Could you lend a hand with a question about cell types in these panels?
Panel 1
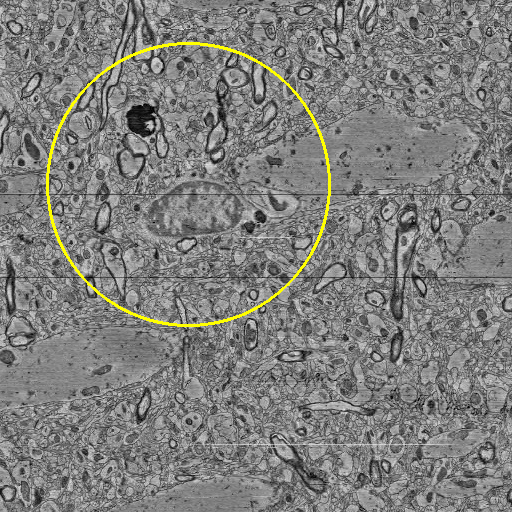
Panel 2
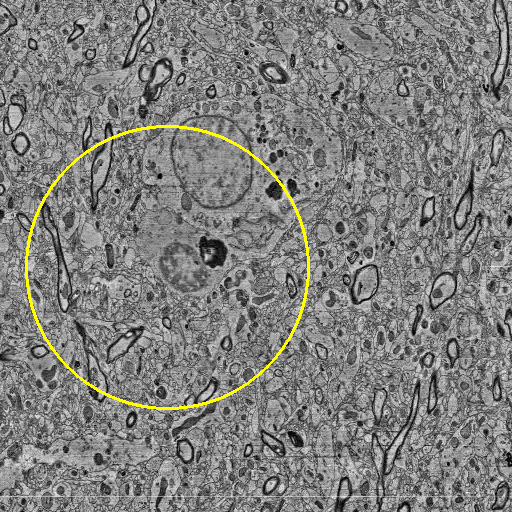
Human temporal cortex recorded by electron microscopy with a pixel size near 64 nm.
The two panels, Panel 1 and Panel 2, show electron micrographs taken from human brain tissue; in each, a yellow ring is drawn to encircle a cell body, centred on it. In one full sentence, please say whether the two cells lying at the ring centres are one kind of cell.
Yes, the cells at the ring centres in the two panels are one kind of cell.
